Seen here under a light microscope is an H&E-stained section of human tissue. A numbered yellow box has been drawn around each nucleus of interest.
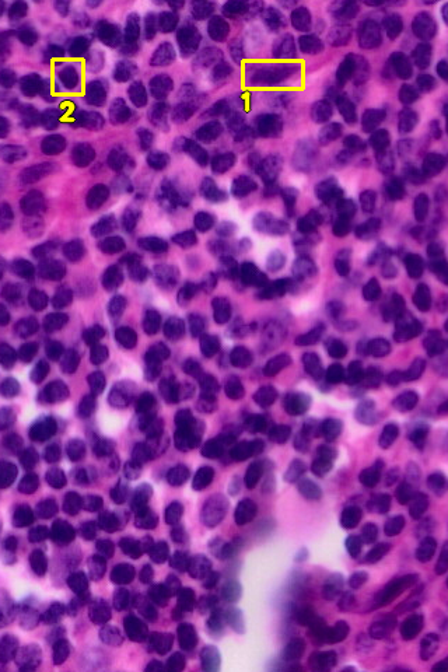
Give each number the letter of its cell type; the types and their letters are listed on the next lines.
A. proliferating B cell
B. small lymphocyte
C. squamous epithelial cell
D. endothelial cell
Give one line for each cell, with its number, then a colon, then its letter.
1: D
2: B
